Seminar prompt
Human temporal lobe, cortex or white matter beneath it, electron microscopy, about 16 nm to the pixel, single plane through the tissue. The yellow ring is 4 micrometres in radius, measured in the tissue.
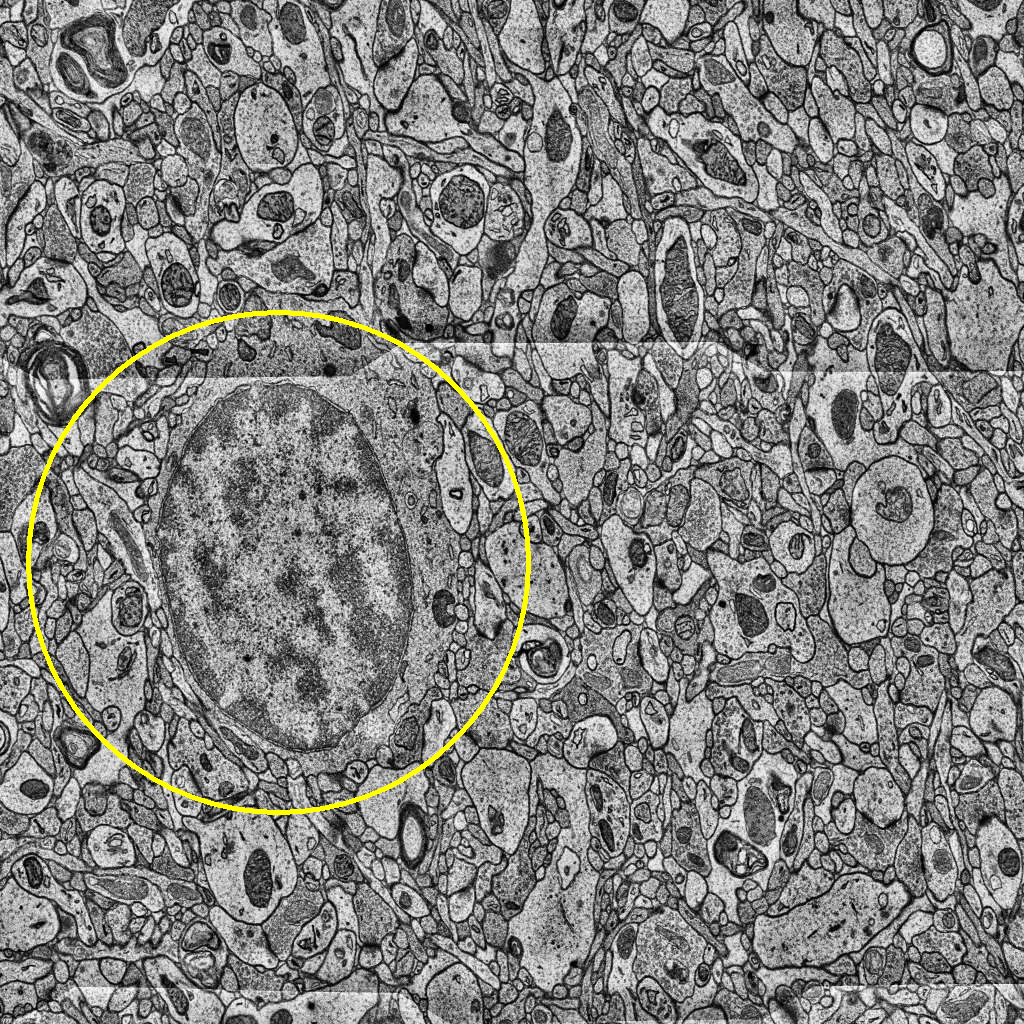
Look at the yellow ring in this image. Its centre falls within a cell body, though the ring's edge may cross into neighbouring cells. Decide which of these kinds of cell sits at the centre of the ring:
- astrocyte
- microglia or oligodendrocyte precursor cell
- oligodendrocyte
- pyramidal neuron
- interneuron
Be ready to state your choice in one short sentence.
The kind of cell at the ring's centre is an oligodendrocyte.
